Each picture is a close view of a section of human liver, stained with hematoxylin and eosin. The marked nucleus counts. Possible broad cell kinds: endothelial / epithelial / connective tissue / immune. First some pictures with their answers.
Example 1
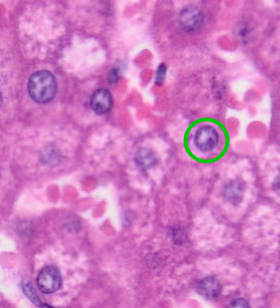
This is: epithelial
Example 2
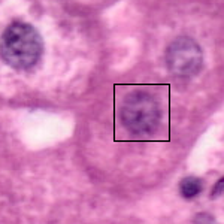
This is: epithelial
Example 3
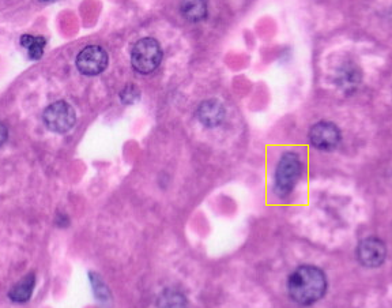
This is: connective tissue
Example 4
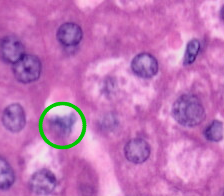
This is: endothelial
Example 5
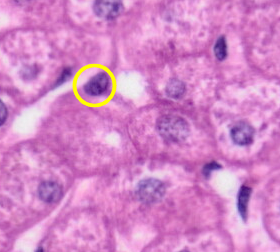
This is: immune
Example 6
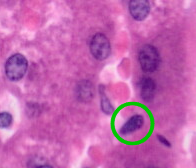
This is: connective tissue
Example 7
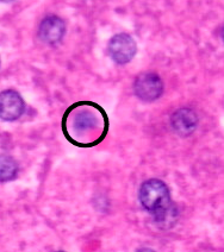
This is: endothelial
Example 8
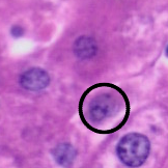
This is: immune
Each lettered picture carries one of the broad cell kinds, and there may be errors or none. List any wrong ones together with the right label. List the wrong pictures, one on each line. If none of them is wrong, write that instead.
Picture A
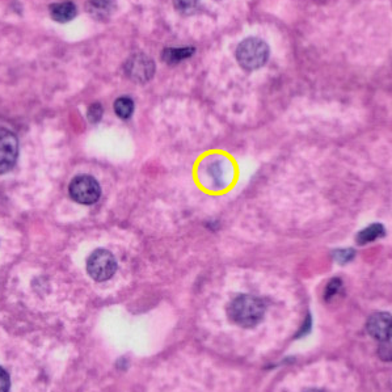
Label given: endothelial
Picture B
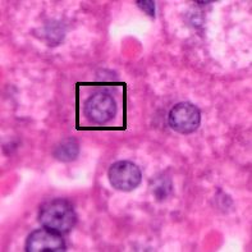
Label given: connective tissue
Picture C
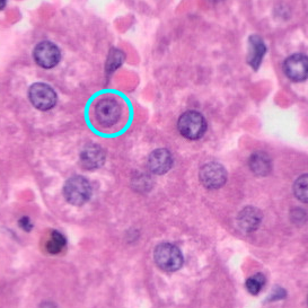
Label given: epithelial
B: change connective tissue to epithelial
